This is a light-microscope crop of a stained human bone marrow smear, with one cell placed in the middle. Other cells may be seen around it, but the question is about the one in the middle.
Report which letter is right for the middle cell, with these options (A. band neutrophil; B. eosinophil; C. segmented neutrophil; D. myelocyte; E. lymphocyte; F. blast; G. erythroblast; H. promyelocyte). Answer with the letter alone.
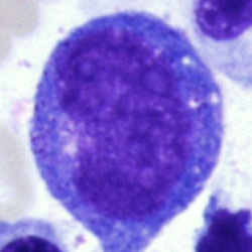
H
